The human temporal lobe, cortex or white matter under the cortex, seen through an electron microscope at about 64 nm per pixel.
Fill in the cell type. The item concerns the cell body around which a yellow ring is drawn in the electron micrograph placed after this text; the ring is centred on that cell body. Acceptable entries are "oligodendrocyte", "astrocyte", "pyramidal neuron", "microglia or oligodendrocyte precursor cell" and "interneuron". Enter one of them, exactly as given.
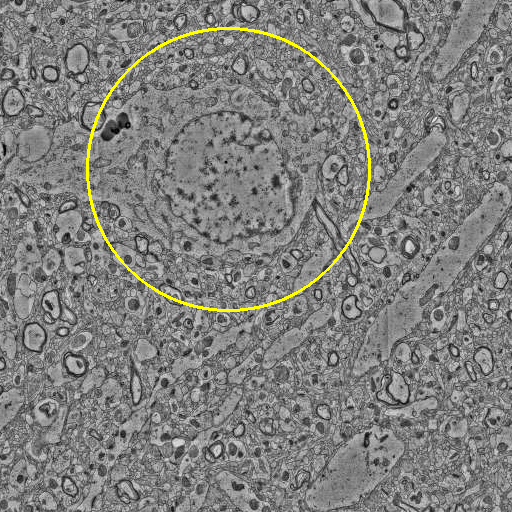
interneuron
